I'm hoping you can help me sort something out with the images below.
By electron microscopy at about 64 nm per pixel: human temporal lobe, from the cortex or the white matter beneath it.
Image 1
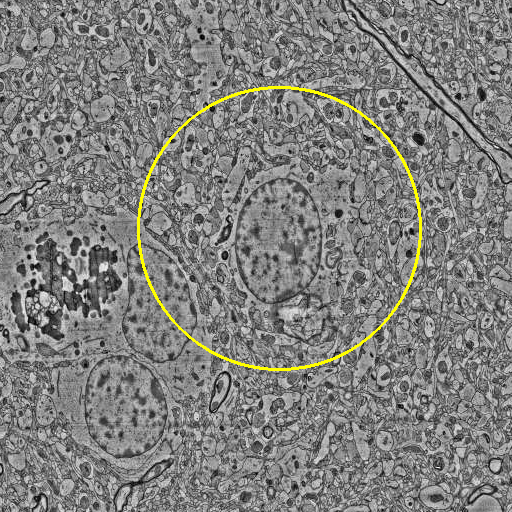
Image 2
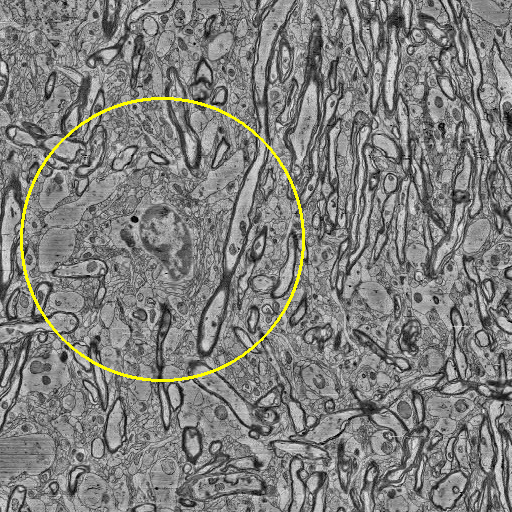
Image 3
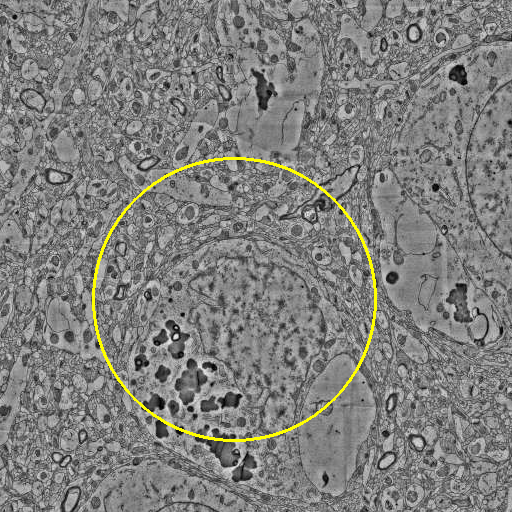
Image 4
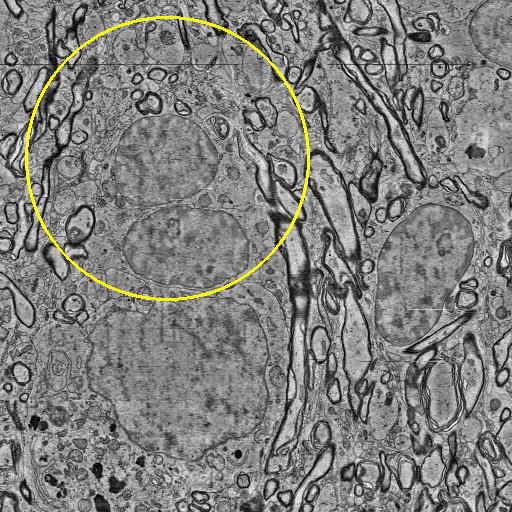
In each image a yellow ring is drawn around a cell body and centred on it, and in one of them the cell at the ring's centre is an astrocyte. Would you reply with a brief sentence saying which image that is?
In Image 1, the cell at the centre of the ring is the one you asked about.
